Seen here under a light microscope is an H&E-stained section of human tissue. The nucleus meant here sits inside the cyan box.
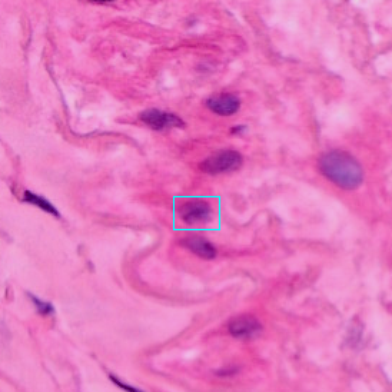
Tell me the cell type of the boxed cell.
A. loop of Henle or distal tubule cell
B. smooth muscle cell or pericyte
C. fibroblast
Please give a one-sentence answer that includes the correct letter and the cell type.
What option B states, that the boxed cell is a smooth muscle cell or pericyte, is correct.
